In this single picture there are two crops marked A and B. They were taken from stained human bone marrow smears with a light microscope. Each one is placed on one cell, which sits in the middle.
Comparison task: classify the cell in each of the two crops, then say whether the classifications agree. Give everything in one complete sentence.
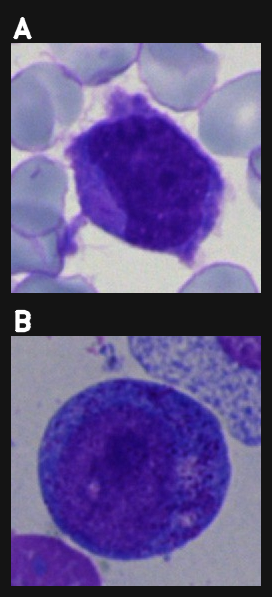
No, crop A shows a blast, and it is crop B that shows a promyelocyte.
